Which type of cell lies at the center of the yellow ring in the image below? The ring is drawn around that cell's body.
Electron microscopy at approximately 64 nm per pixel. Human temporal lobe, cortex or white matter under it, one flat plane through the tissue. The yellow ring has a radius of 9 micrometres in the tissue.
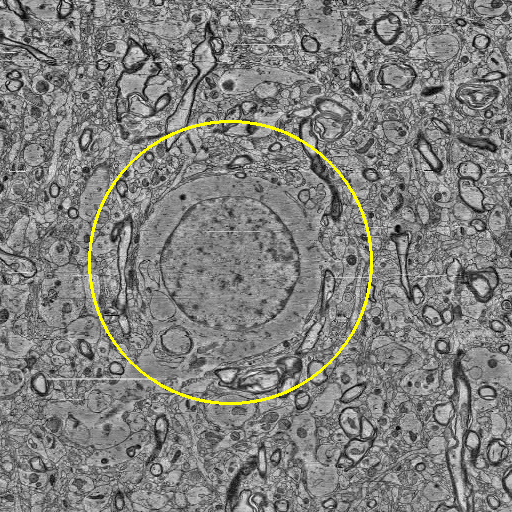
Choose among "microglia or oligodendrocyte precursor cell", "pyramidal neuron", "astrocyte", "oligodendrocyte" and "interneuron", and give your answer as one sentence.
The cell body at the center belongs to an astrocyte.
